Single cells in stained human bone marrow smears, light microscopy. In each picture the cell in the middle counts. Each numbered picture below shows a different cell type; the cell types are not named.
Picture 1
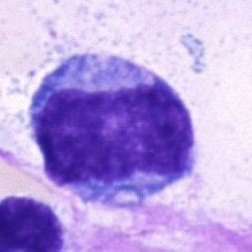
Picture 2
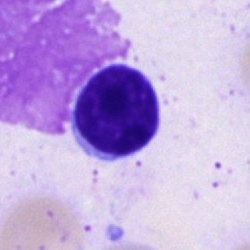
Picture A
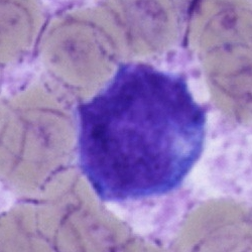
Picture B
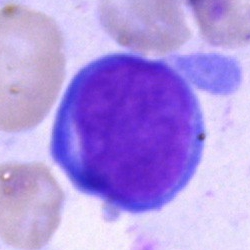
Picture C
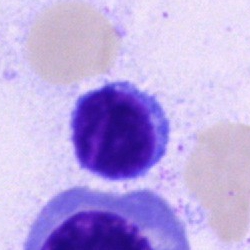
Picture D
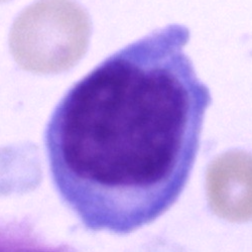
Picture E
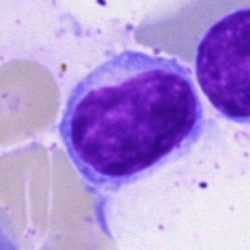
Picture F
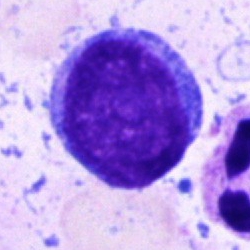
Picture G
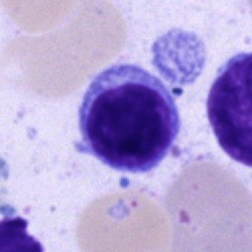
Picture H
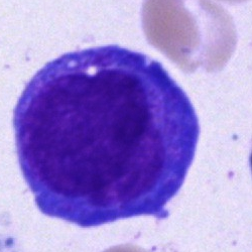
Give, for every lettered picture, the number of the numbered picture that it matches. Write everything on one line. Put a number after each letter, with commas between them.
A 1, B 1, C 2, D 1, E 2, F 1, G 2, H 1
